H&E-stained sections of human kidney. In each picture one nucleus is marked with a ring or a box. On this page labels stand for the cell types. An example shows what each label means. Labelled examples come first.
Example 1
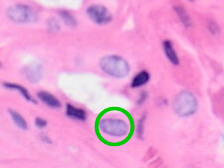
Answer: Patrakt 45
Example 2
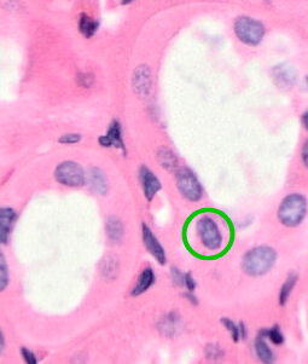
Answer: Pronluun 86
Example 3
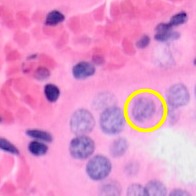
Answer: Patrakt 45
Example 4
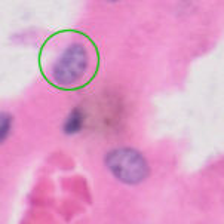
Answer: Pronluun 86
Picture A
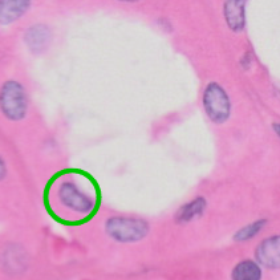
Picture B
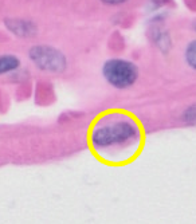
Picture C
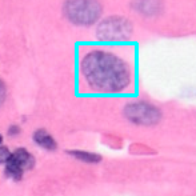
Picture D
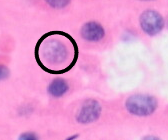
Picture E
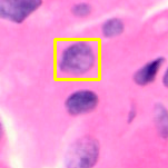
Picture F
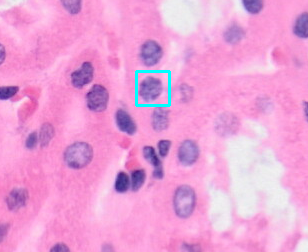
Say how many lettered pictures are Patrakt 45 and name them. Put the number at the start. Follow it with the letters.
0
